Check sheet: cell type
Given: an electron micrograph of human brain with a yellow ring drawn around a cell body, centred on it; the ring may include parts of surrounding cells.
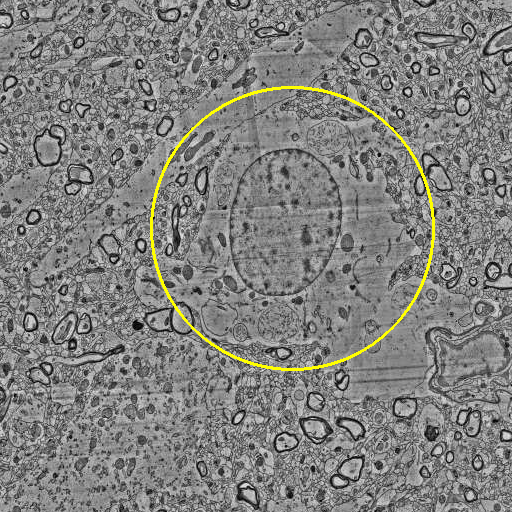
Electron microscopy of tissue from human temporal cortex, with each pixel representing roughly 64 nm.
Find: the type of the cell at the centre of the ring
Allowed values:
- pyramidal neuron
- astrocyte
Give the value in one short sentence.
Here the ringed cell is an astrocyte.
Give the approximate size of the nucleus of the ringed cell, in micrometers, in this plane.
In this plane, the nucleus of the cell at the centre of the ring measures about 9 by 7 micrometres.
